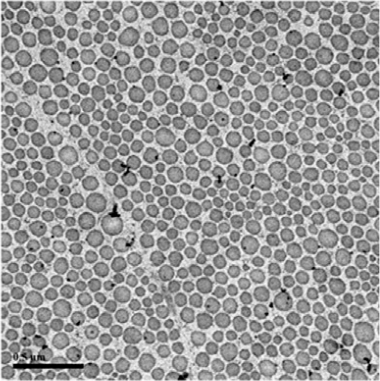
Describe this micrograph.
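Transmission electron micrograph of collagenous bundles cut in cross-section. The field is filled with closely packed round profiles, each a grey disc with a fairly smooth outline, separated by thin pale spaces. Profile diameters are uneven: numerous small discs lie among larger ones, giving a mottled, heterogeneous pattern. A few small dark electron-dense specks are scattered between the profiles. Some paler, looser strands of interfibrillar material cross the field. No cells are present in the view.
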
